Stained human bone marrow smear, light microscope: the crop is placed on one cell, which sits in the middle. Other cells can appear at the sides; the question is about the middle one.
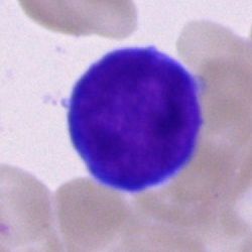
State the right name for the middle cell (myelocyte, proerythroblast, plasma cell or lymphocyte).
proerythroblast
